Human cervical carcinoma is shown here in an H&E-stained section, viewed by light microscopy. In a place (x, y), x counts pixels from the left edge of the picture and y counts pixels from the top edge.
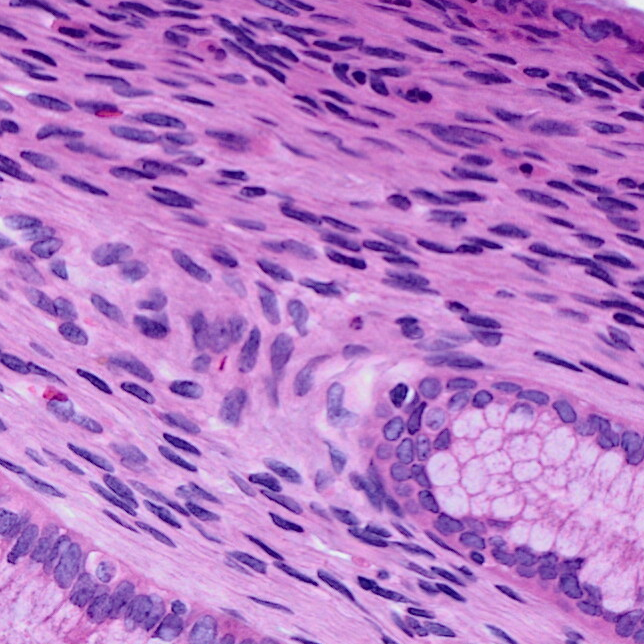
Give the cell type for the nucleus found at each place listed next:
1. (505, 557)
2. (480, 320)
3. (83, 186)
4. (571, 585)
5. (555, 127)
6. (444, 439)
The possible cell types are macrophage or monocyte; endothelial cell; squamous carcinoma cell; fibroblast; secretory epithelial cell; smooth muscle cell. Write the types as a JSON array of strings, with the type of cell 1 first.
["secretory epithelial cell", "fibroblast", "fibroblast", "secretory epithelial cell", "fibroblast", "secretory epithelial cell"]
